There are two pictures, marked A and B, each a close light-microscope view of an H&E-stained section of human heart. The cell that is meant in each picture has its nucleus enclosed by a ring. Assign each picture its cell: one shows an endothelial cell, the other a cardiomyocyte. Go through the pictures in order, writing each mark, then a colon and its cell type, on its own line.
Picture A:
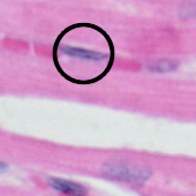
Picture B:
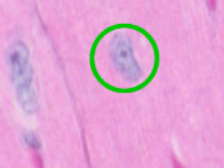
A: endothelial cell
B: cardiomyocyte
